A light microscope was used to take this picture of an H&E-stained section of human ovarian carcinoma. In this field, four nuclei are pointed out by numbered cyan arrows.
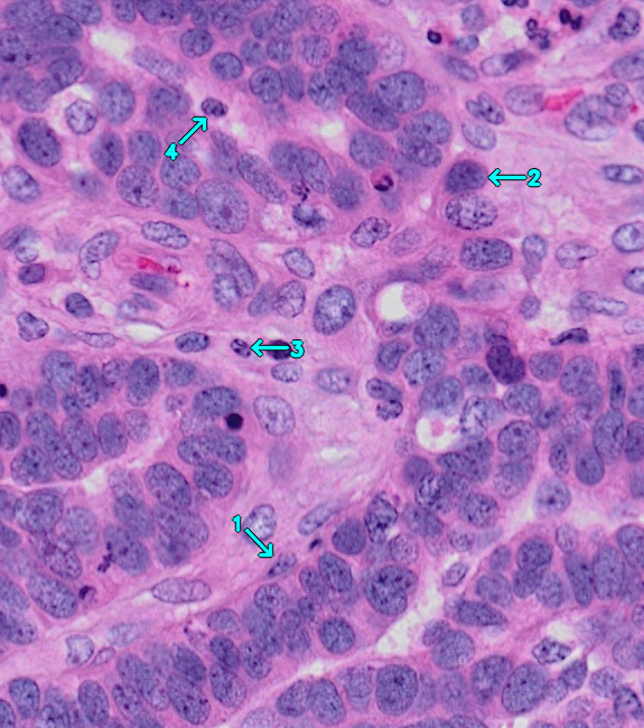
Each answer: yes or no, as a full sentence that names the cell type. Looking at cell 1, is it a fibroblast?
Yes, the cell numbered 1 in this tissue is a fibroblast.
